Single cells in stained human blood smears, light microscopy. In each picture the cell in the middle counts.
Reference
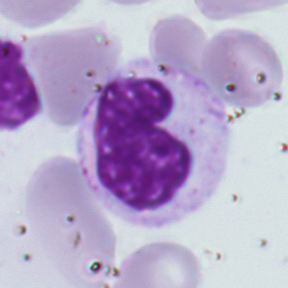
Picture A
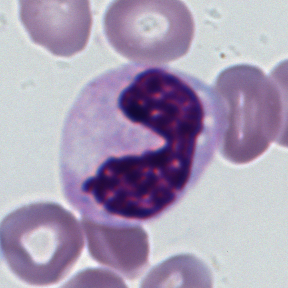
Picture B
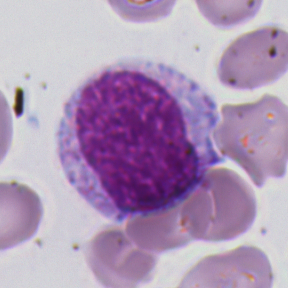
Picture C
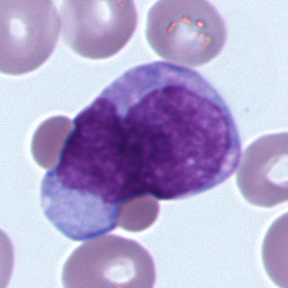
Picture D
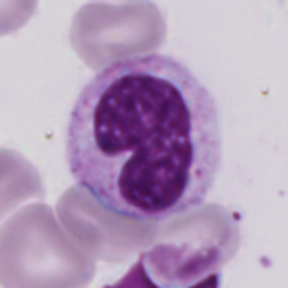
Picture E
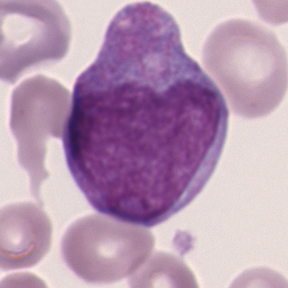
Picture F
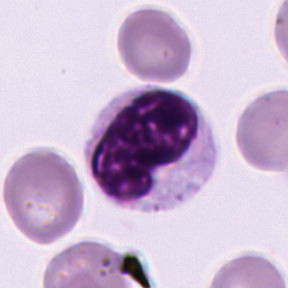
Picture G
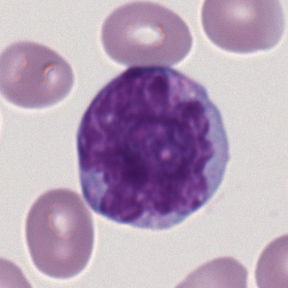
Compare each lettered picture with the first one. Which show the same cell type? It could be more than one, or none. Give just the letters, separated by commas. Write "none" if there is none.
A, D, F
